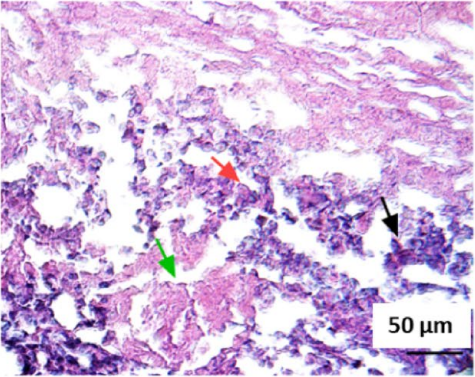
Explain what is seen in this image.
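The upper part is a pale pink, loosely fibrillar zone with few nuclei. Below it, clumps of tumor cells with dark purple, hyperchromatic nuclei are scattered and separated by many clear spaces, giving a disrupted, fragmented look. Within the lower middle lies a pale pink, mostly acellular patch lacking intact nuclei, consistent with an area of necrosis. Some cells among the clusters appear shrunken with condensed staining, consistent with apoptotic cells. The tumor tissue is less compact than a solid sheet, with cell groups broken apart.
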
